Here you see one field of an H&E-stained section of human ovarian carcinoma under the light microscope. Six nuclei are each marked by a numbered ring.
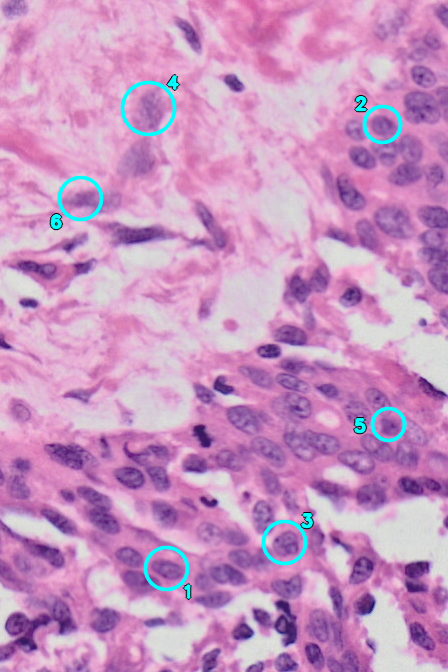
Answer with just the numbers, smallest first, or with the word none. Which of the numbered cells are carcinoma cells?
1, 2, 5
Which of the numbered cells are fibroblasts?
4, 6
